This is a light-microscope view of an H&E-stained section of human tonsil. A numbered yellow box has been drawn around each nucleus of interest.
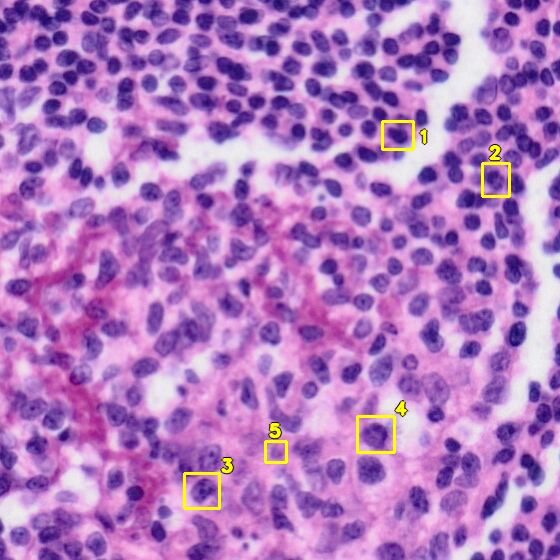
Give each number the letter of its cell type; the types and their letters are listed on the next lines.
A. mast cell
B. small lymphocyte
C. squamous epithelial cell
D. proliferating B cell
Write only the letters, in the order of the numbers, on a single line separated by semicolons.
B; B; D; D; D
